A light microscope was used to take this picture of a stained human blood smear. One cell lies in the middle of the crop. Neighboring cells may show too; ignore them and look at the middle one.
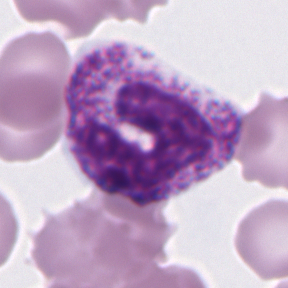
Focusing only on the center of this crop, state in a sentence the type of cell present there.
The centrally located cell in the crop is a band neutrophil.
